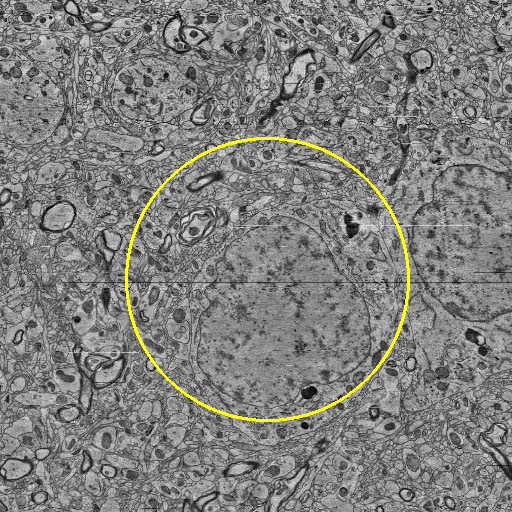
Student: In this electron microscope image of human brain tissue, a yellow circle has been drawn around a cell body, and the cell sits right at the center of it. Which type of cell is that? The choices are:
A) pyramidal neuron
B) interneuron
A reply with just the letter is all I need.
A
